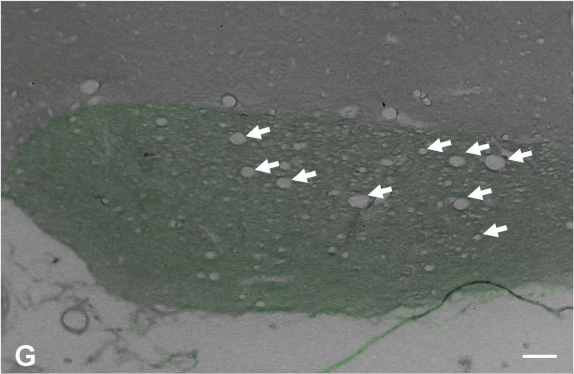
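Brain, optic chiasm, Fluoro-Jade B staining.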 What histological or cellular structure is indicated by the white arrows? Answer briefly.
Vacuoles.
